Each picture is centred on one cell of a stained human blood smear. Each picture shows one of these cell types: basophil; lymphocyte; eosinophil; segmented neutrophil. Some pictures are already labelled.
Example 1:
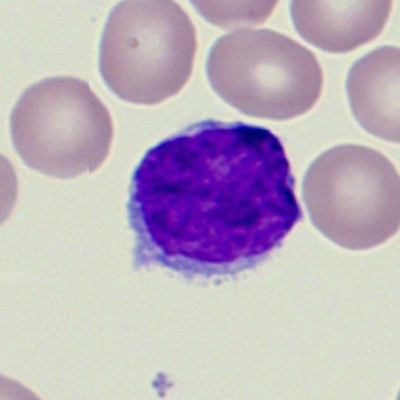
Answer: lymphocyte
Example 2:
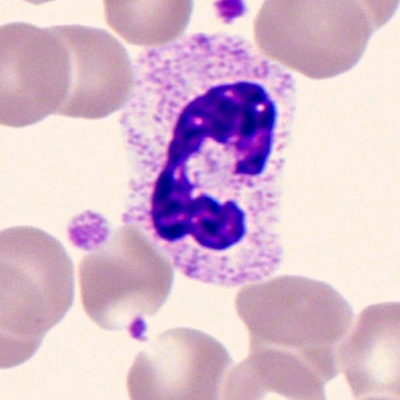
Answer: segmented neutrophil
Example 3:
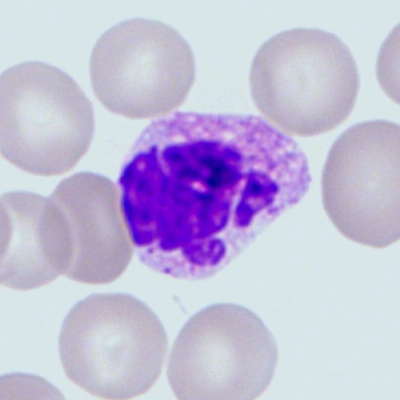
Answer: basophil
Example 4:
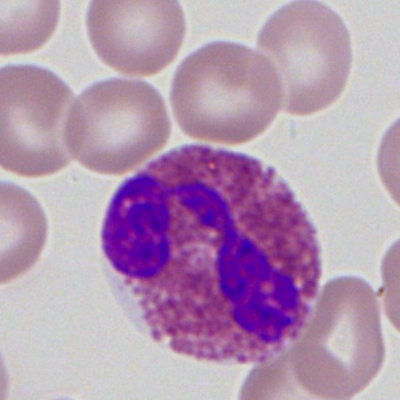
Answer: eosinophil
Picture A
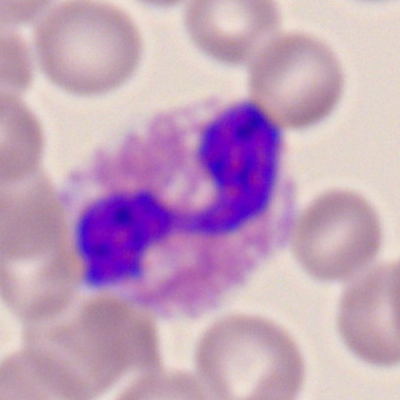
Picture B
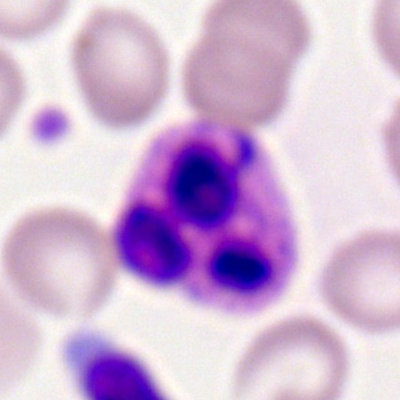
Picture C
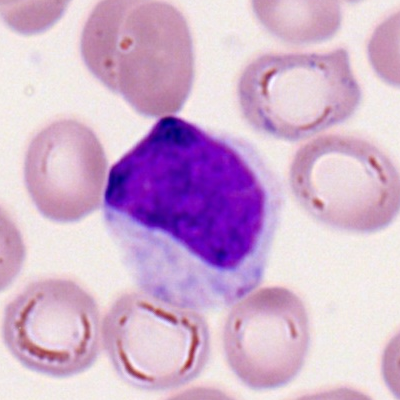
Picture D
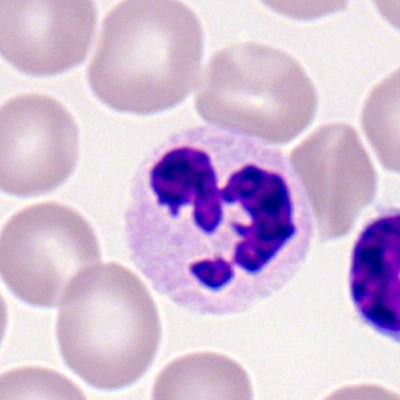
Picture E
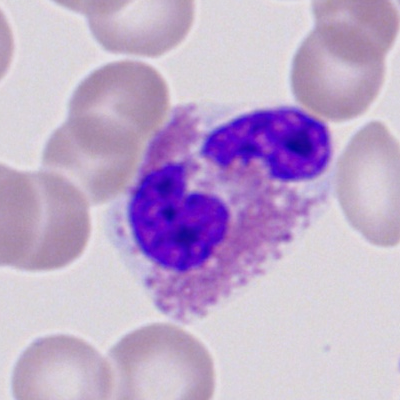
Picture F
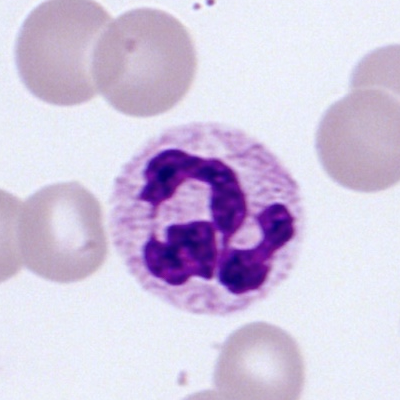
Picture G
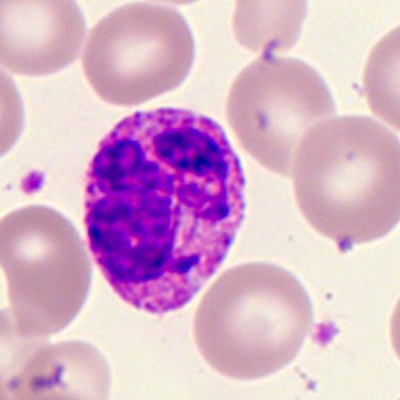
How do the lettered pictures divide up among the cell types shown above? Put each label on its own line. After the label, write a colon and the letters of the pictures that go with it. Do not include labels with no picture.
basophil: B, G
lymphocyte: C
eosinophil: A, E
segmented neutrophil: D, F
